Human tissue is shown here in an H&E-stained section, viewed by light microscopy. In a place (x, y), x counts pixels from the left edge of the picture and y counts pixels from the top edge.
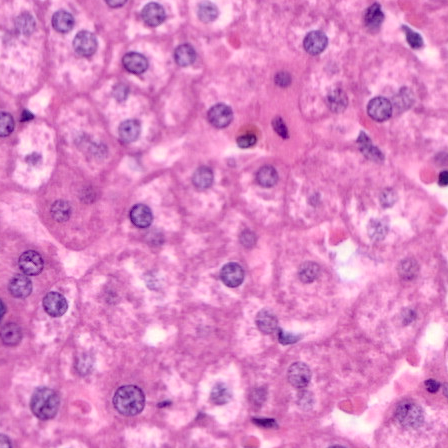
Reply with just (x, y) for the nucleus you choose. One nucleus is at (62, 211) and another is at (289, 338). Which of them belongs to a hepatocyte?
(62, 211)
